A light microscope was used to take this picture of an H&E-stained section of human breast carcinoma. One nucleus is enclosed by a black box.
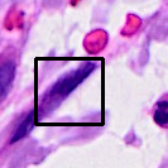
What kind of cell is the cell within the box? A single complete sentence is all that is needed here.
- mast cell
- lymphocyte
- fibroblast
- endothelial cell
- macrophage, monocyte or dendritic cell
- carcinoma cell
Within this tissue, the cell within the box is a fibroblast.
